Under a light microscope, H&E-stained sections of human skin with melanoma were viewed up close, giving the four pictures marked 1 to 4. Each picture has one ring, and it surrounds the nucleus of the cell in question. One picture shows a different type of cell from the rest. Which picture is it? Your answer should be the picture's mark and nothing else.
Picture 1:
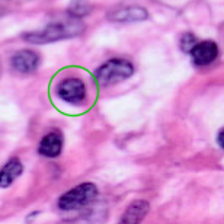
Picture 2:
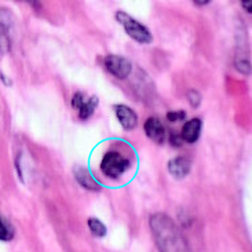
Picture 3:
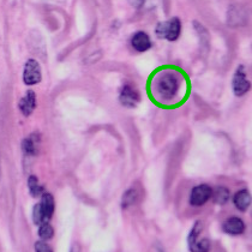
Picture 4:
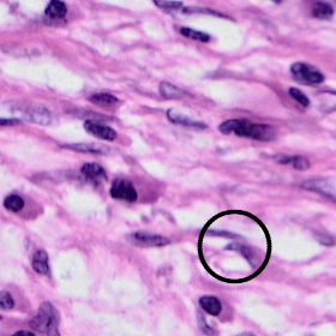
4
